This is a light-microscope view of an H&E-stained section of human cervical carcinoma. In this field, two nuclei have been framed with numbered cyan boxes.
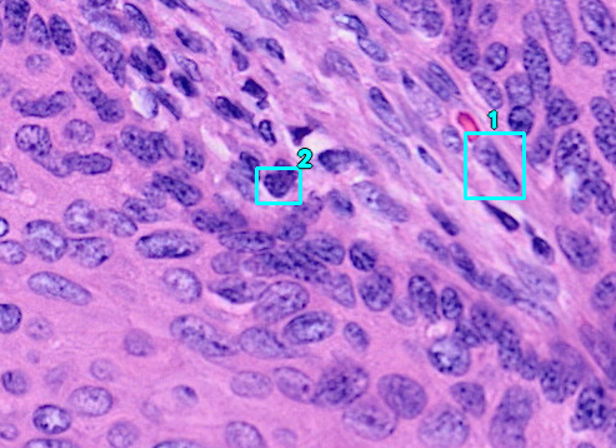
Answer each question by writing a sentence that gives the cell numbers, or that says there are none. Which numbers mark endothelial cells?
Only the cell numbered 1 is an endothelial cell; none of the others is.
